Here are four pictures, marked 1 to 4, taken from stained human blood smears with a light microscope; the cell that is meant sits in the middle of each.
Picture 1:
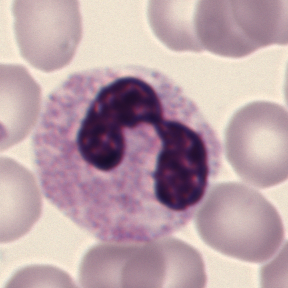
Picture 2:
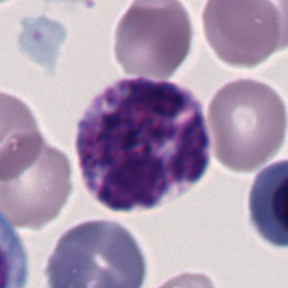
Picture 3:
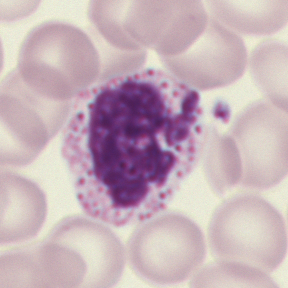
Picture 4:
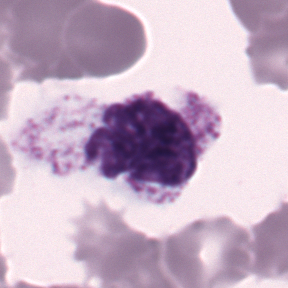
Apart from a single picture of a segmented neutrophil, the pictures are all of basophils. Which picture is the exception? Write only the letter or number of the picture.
1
